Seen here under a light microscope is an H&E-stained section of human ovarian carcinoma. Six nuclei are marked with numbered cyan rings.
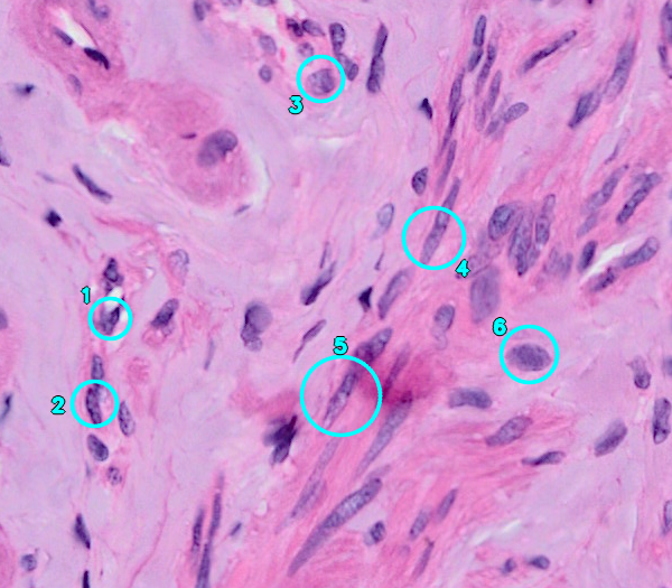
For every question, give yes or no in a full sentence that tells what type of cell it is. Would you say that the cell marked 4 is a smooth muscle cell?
Yes, the numbered cell 4 is a smooth muscle cell.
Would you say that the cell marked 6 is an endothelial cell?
No, the cell tagged 6 is a fibroblast, not an endothelial cell.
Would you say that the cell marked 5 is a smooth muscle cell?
Yes, the cell shown as number 5 is a smooth muscle cell.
